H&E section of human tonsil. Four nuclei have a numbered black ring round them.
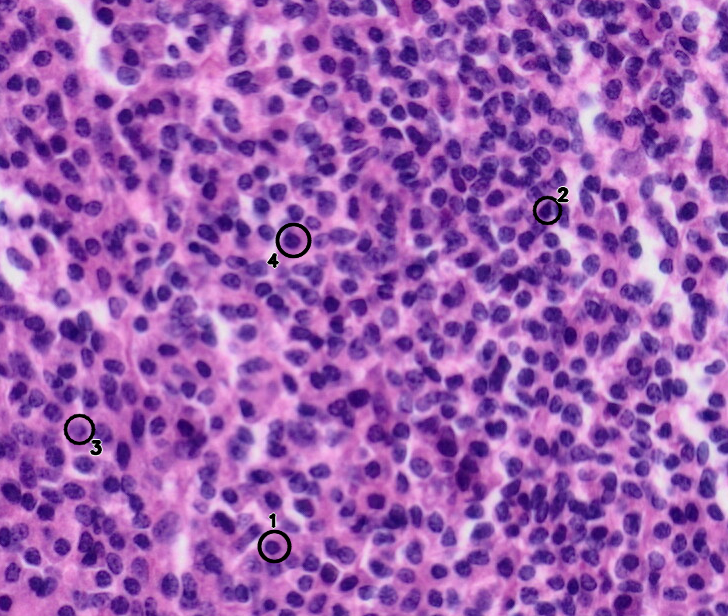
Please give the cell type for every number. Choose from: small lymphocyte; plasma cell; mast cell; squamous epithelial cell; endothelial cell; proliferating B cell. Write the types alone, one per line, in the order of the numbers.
plasma cell
small lymphocyte
plasma cell
plasma cell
